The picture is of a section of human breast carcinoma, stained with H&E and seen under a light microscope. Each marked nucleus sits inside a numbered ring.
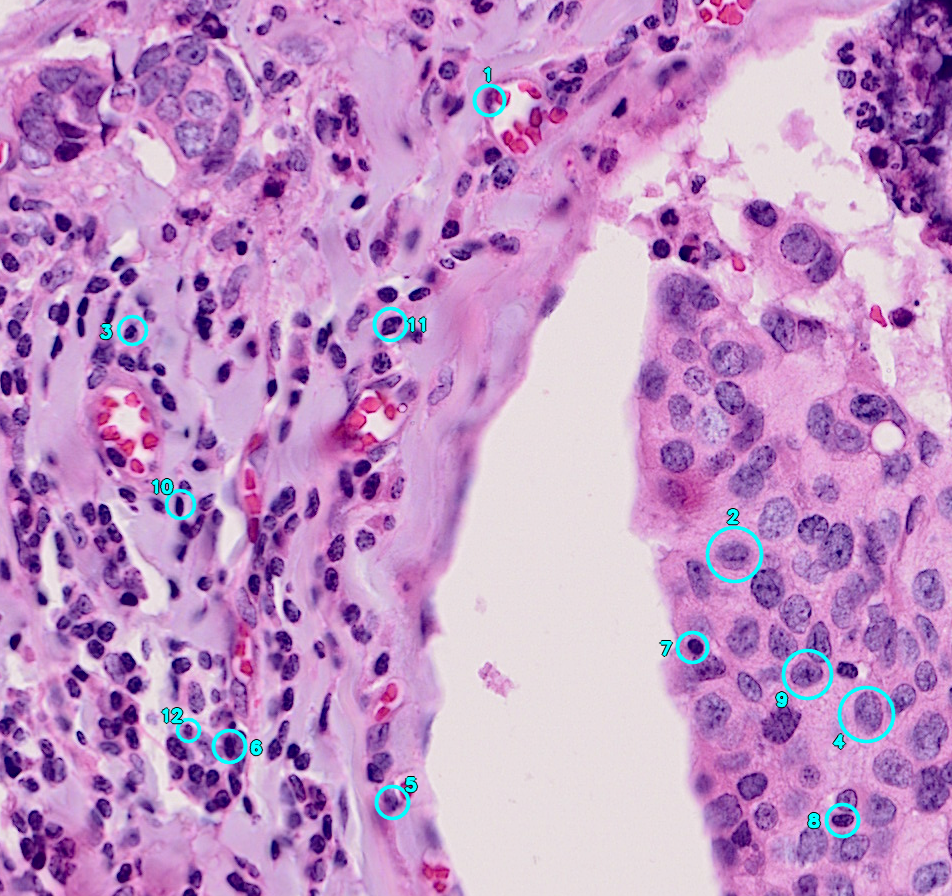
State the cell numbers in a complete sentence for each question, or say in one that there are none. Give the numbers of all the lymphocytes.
The cells marked with the numbers 3, 6, 7, 8, 10, 11 and 12 are lymphocytes.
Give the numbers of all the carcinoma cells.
Cells 2, 4 and 9 are carcinoma cells by cell type.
